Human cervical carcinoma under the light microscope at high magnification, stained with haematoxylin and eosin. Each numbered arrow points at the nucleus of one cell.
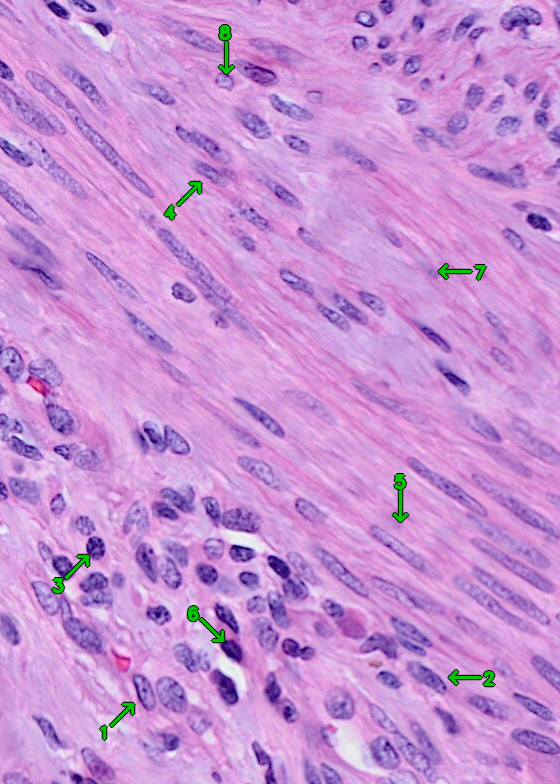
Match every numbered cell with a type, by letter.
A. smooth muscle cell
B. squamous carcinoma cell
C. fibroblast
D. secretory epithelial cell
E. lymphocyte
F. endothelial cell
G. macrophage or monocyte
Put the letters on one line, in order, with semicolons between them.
F; C; E; A; A; E; A; A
